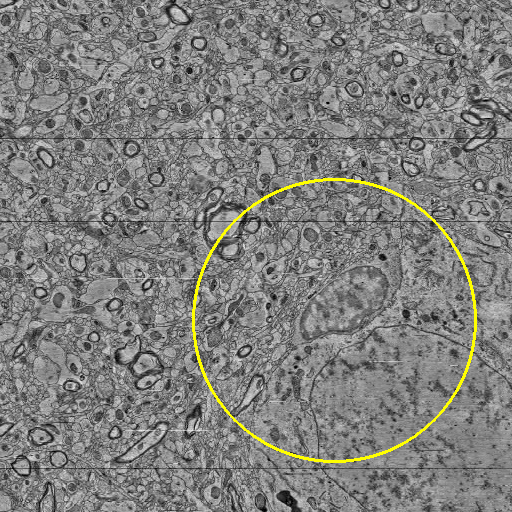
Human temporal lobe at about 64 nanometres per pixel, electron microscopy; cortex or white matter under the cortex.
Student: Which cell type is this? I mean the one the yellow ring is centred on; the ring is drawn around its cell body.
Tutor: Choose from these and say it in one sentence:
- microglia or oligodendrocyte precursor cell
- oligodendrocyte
The cell the ring is centred on is an oligodendrocyte.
